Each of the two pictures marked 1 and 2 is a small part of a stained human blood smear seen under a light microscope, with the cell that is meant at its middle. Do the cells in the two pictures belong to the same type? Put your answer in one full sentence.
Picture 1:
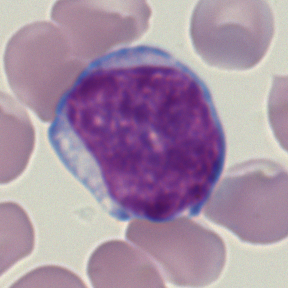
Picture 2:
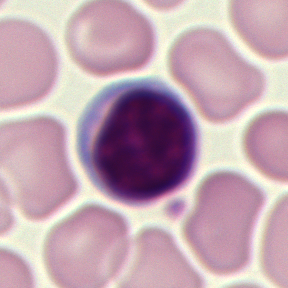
No, picture 1 shows a myeloblast and picture 2 shows a typical lymphocyte.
